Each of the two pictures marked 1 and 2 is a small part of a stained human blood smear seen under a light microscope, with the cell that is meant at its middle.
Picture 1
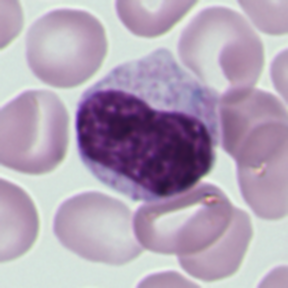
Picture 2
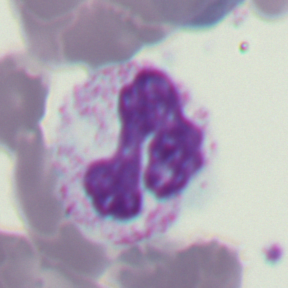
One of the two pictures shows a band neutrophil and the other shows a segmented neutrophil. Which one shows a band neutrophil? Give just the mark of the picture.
1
